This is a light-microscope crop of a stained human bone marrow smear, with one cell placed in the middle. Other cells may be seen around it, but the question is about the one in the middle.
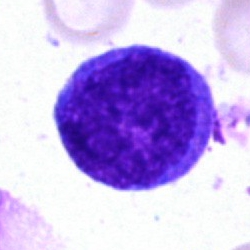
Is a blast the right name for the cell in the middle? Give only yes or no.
yes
